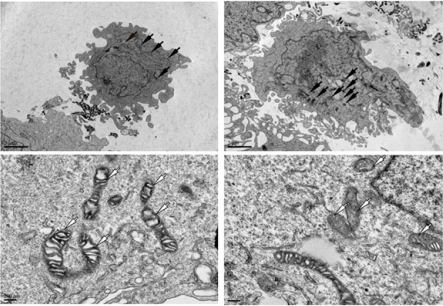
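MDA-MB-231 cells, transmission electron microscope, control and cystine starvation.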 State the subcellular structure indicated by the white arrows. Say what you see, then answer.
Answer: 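The white arrows in the high-magnification row point at the inner folds inside oval, double-membraned organelles. So: cristae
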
